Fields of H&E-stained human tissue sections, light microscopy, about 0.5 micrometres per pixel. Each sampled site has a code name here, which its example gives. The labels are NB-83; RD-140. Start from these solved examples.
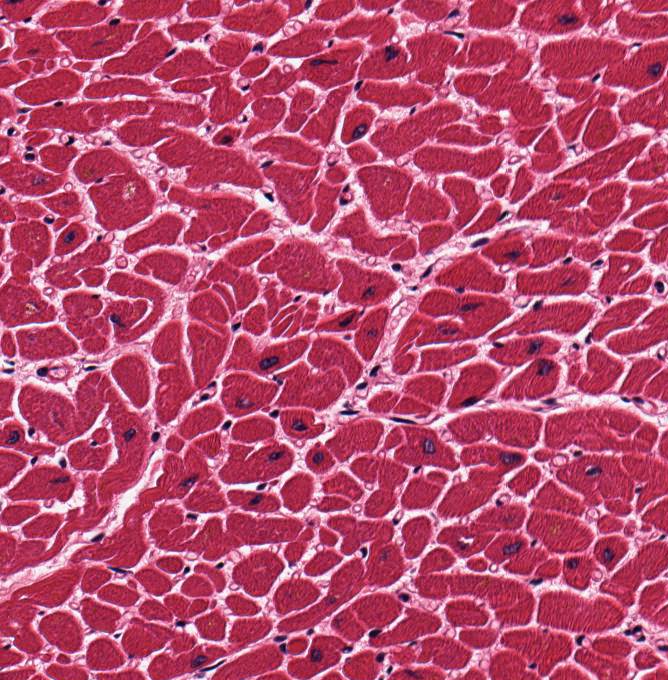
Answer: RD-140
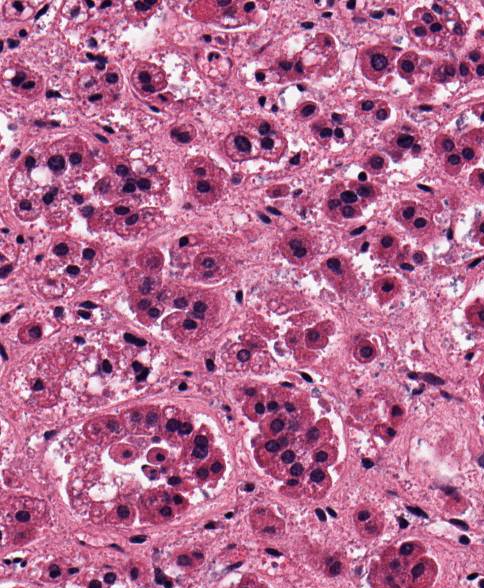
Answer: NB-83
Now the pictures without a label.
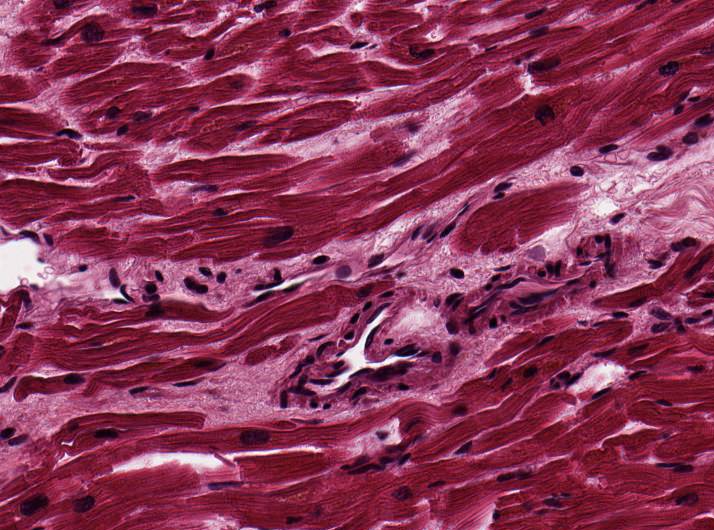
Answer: RD-140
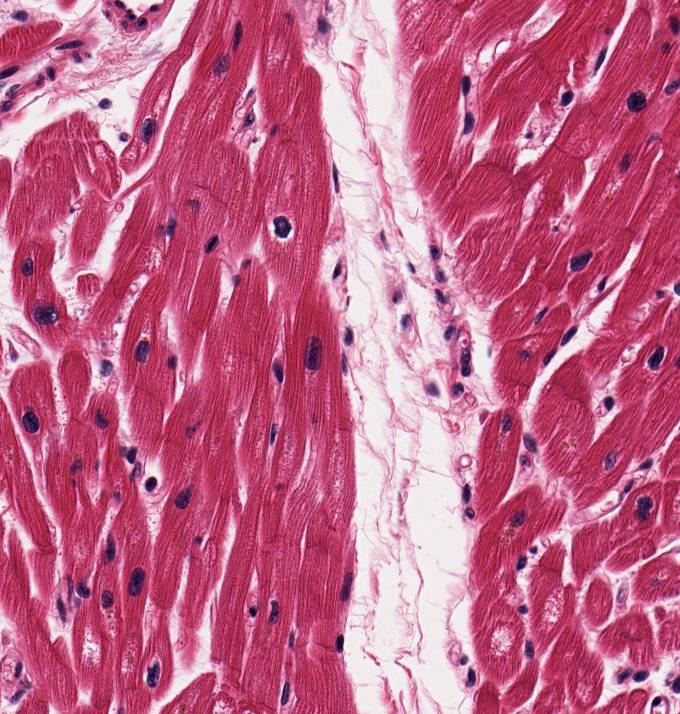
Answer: RD-140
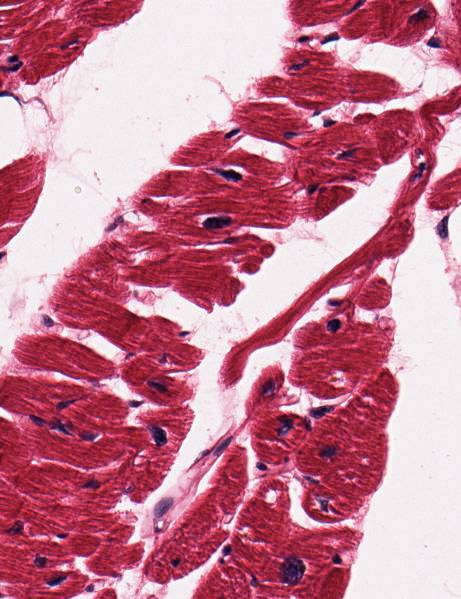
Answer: RD-140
